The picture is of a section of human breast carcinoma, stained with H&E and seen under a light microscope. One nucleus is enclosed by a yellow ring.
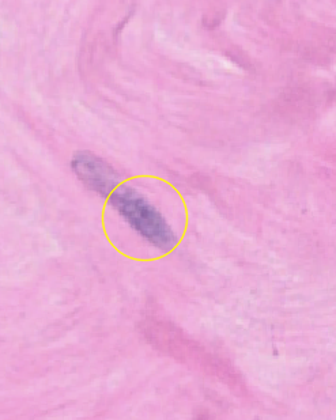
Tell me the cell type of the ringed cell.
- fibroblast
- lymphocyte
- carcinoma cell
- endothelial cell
fibroblast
